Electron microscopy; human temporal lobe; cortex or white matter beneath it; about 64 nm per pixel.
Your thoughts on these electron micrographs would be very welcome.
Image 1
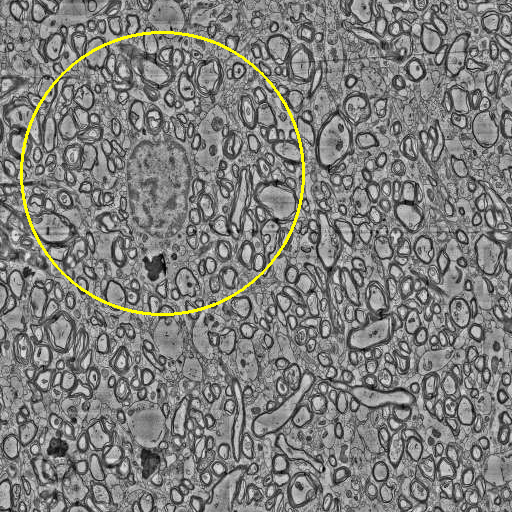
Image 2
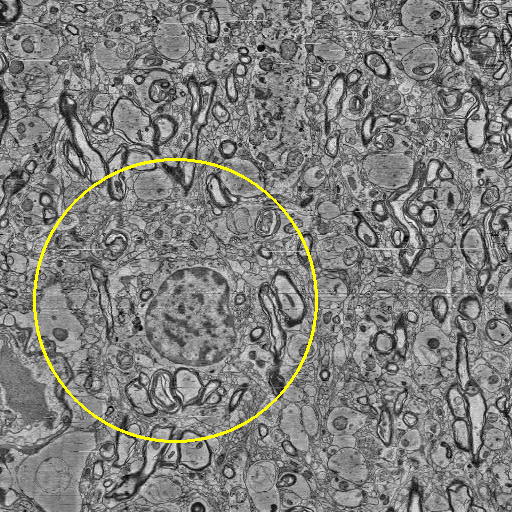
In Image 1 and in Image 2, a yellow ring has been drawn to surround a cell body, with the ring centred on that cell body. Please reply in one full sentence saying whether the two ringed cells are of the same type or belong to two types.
The ringed cells in Image 1 and Image 2 belong to two types.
